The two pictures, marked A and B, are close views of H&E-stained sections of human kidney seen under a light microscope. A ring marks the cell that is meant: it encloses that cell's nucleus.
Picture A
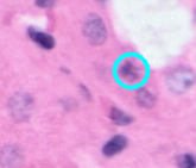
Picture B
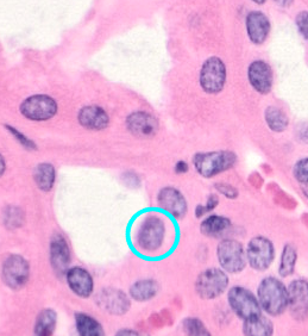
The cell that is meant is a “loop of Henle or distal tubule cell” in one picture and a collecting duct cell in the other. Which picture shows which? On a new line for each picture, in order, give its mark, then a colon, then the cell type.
A: loop of Henle or distal tubule cell
B: collecting duct cell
